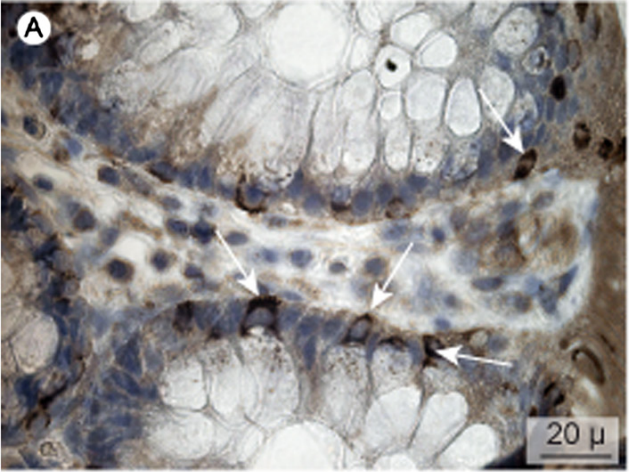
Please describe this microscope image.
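Two crypts run across the field, each lined by epithelium rich in pale, mucus-filled goblet cells, with a strip of stroma between them. The goblet cells appear as clear, rounded vacuoles packed together toward the lumen. Dark brown deposits lie at the basal ends of some of these goblet cells, near the row of blue epithelial nuclei. The stroma between the crypts holds scattered blue nuclei and a few brown-stained cells.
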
